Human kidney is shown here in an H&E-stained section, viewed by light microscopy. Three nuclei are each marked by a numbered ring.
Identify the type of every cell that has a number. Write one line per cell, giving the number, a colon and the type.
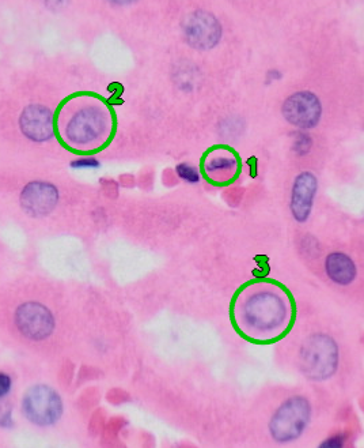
1: endothelial cell
2: proximal tubule cell
3: proximal tubule cell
